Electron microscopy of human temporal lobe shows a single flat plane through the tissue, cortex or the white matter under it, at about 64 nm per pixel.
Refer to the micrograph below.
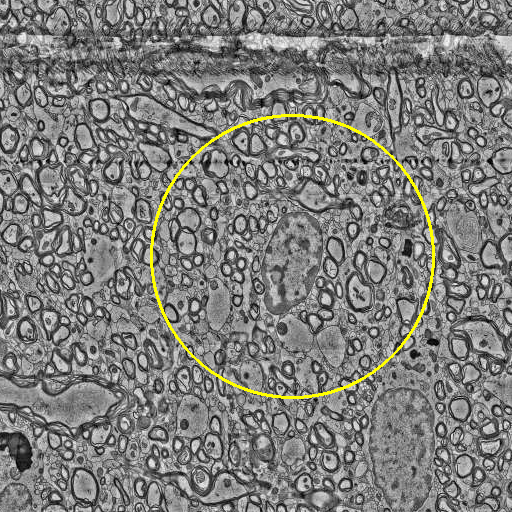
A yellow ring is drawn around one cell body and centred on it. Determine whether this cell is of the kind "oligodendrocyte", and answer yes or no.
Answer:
no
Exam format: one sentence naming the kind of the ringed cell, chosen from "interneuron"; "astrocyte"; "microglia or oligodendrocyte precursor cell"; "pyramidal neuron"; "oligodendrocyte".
Instead, the cell at the centre of the ring is a microglial cell or oligodendrocyte precursor cell.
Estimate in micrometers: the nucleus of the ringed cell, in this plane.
Approximately 7 micrometres long and 3 micrometres wide, in this plane.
